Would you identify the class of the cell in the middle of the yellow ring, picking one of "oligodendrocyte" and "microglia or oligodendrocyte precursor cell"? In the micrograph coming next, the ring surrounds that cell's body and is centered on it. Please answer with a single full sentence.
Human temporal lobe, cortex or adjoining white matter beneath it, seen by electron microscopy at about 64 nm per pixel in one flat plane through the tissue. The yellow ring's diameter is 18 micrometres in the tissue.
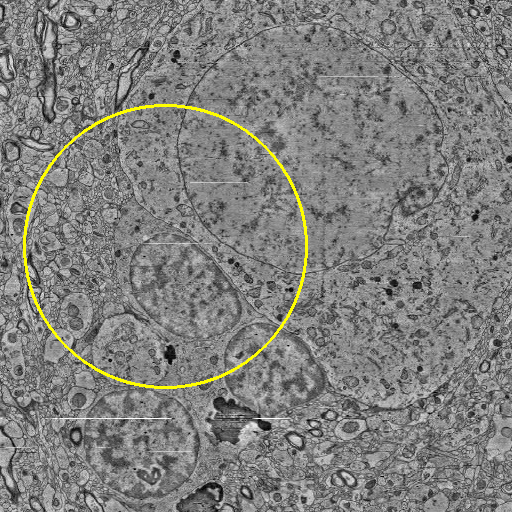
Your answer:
In the micrograph, it is an oligodendrocyte whose body lies at the ring's center.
